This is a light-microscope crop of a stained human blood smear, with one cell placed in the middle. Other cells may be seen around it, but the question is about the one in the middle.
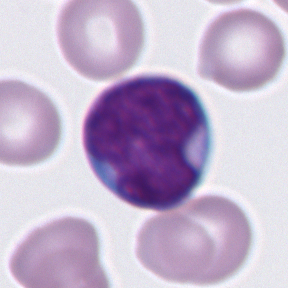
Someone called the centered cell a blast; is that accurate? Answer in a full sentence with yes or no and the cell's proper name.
Yes, the cell occupying the center is a blast.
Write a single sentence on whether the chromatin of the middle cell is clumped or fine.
Take a look at the chromatin, which is coarsely clumped.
